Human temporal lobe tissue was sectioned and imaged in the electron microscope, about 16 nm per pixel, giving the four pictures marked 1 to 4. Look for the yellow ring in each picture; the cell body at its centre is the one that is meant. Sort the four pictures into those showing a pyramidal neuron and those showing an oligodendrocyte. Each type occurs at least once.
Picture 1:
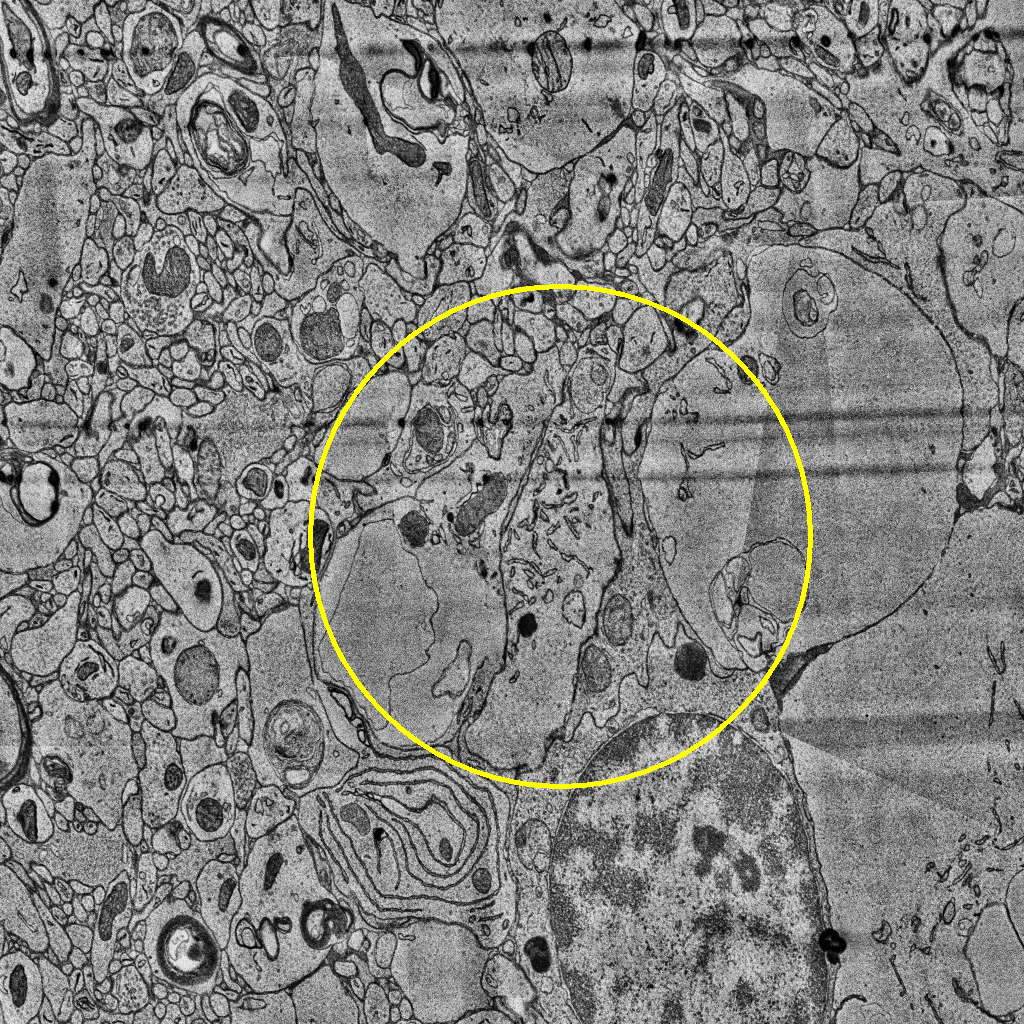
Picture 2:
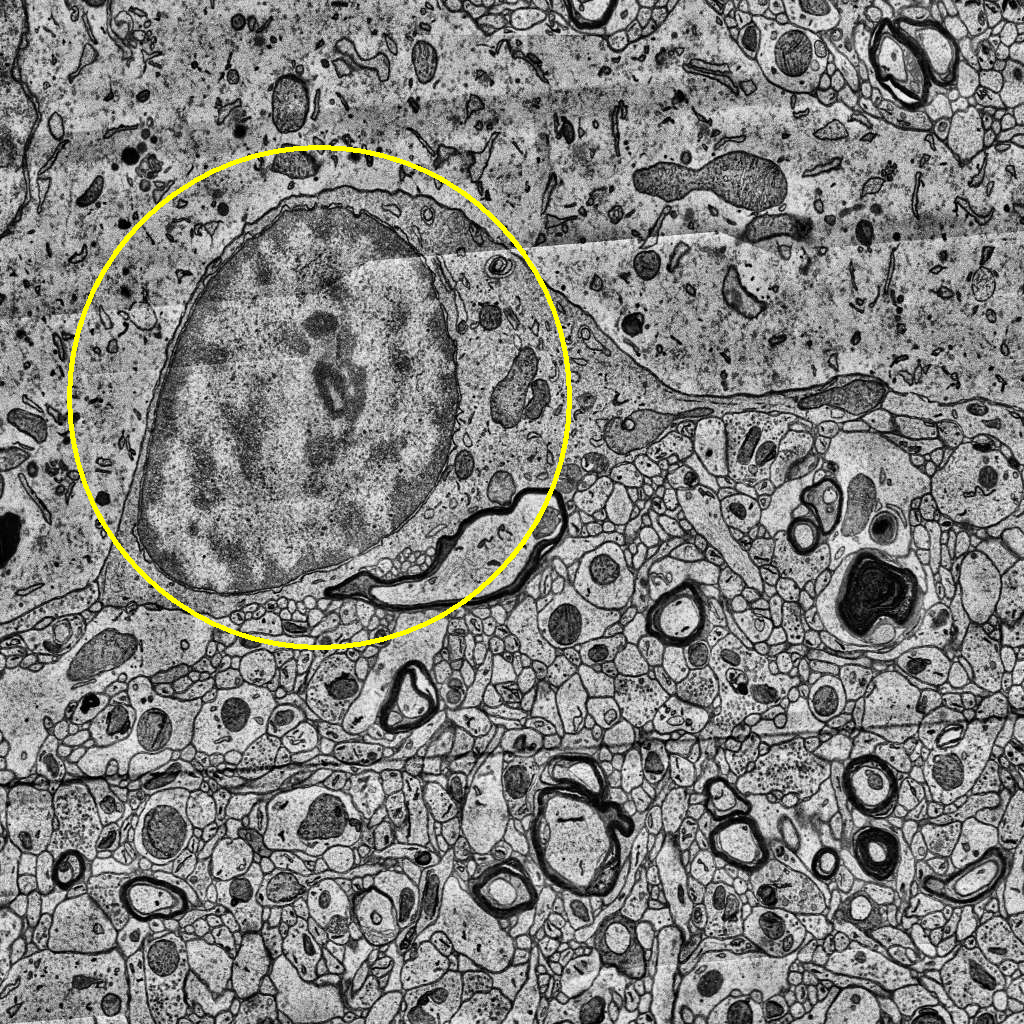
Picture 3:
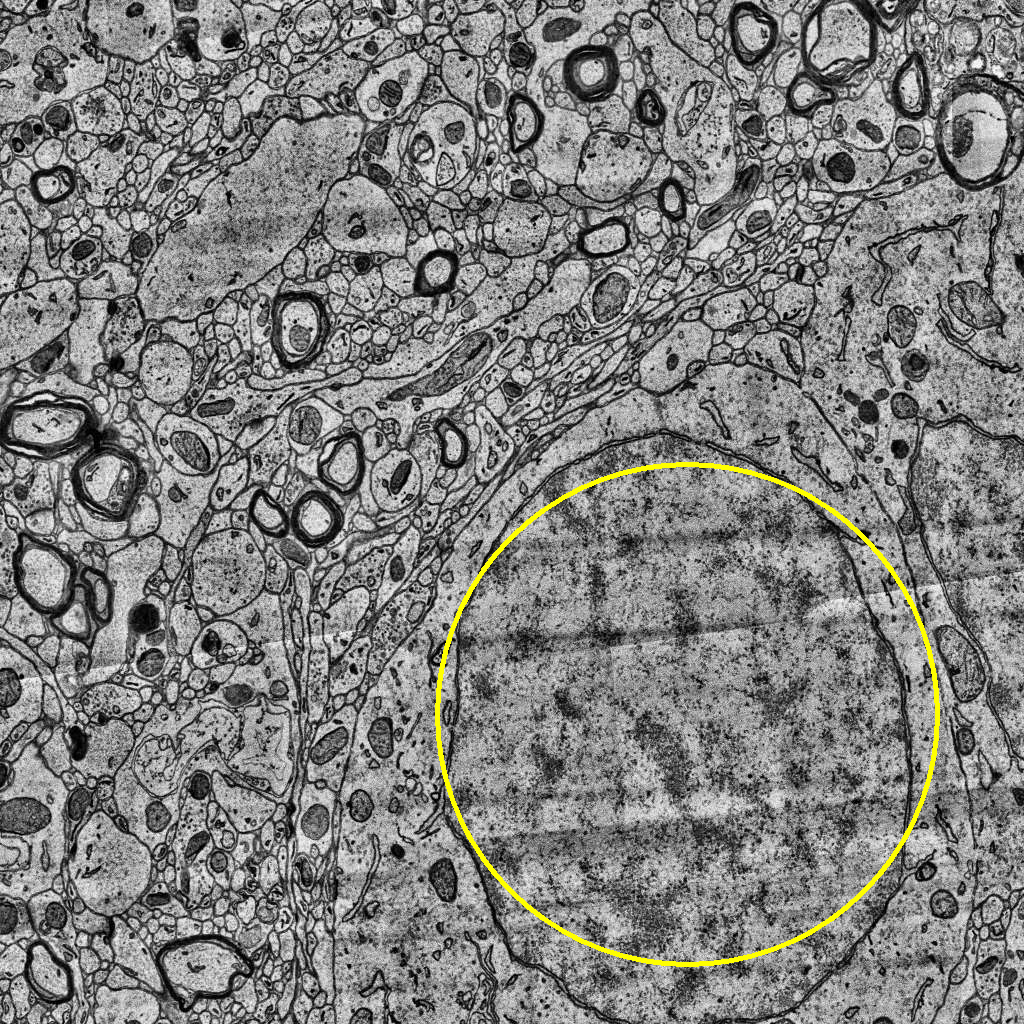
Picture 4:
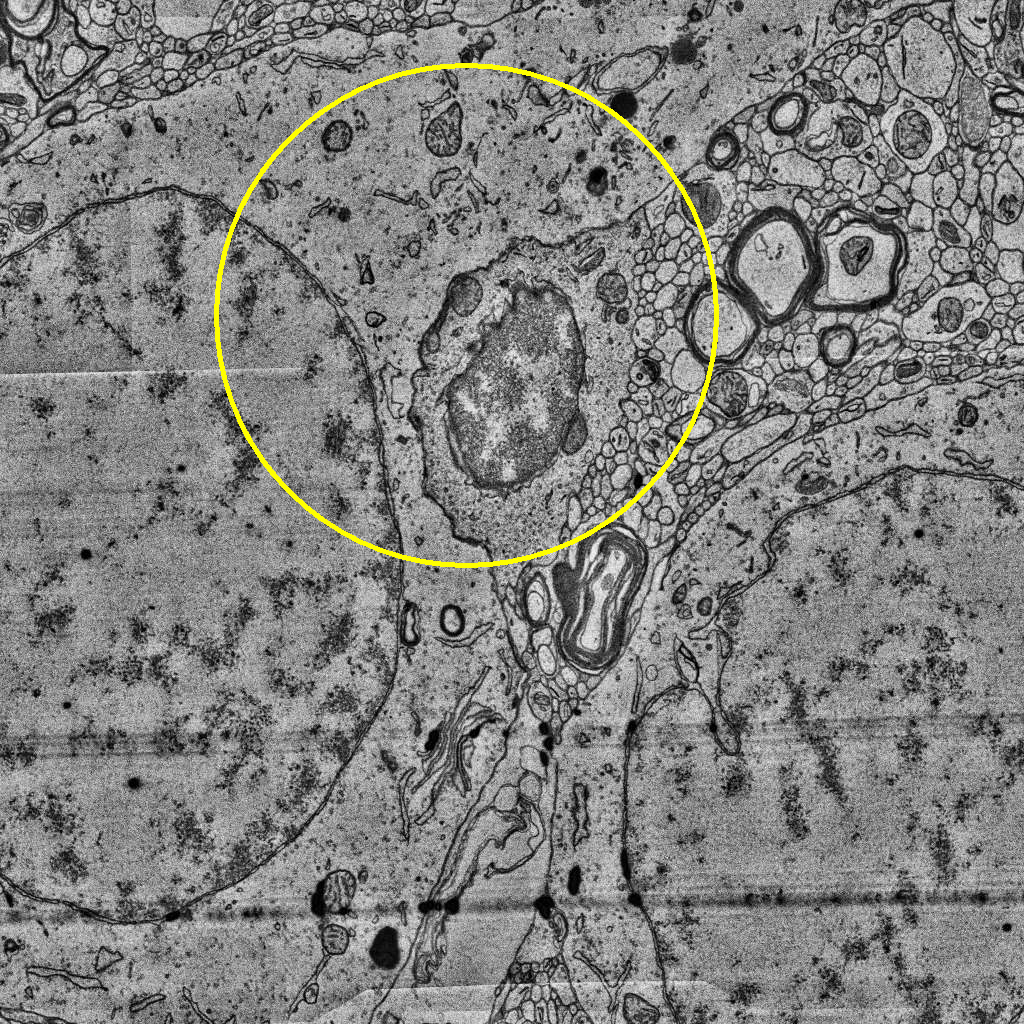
Picture 3 shows a pyramidal neuron, while pictures 1, 2 and 4 show oligodendrocytes.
